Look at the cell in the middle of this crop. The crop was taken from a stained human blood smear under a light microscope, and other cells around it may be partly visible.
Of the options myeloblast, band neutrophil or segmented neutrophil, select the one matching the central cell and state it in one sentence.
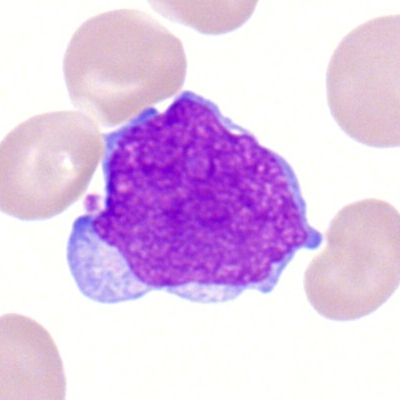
The middle of this crop is occupied by a myeloblast.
